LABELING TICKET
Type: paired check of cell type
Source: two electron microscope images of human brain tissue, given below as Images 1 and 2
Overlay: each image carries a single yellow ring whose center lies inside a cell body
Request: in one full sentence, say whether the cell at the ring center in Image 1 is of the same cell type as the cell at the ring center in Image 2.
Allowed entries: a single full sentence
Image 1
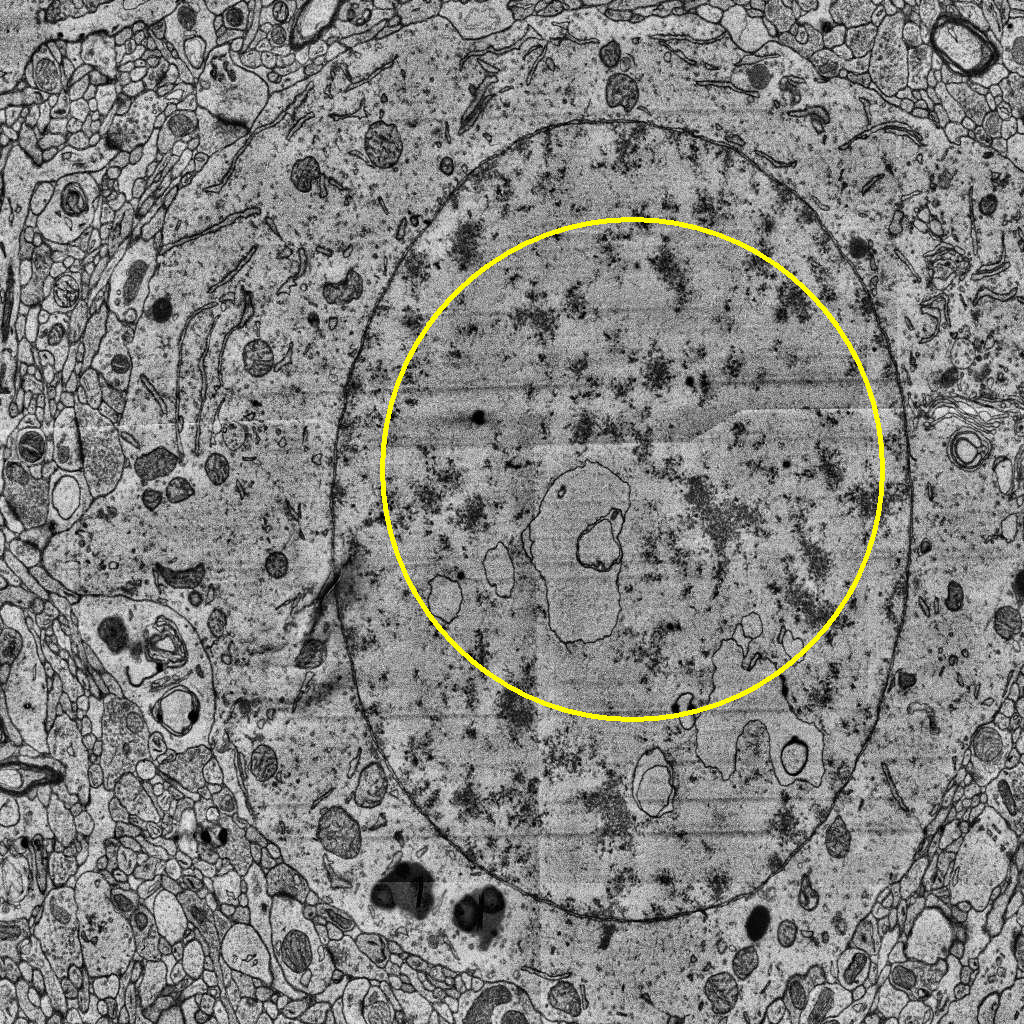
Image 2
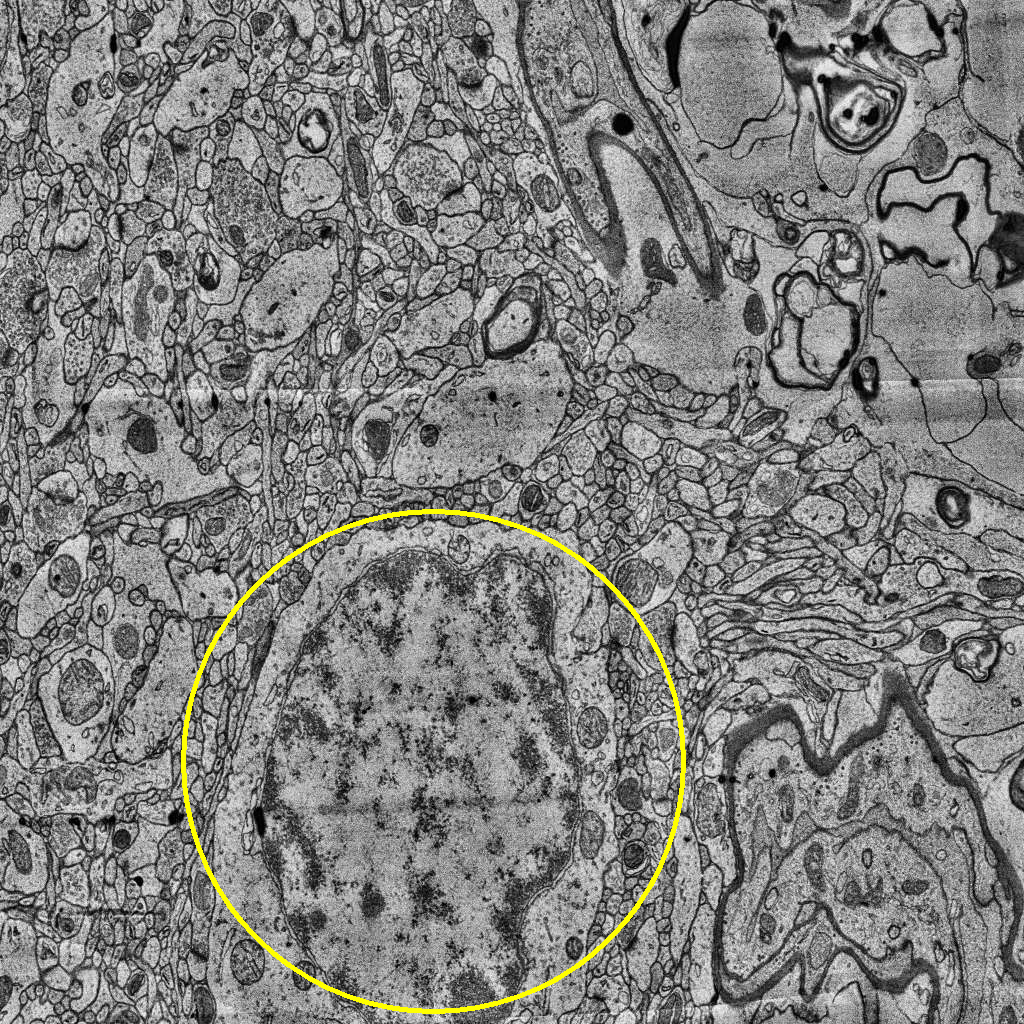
No, the cells at the ring centers of Image 1 and Image 2 are of two types.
